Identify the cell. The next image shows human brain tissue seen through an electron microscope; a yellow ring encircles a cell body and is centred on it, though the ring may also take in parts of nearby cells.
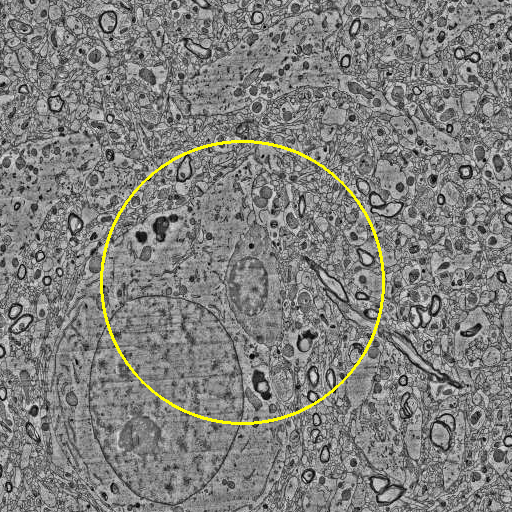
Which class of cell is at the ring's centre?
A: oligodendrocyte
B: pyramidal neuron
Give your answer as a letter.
A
